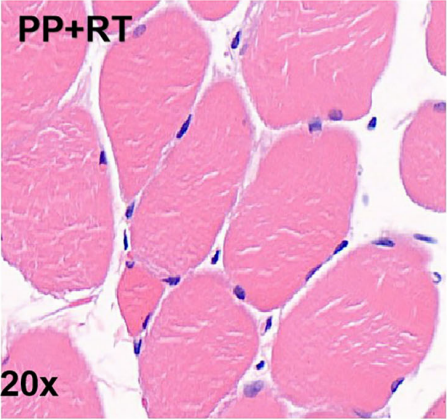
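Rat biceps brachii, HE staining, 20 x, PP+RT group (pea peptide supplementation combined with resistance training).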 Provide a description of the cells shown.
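Cross-section of skeletal muscle with large polygonal to rounded muscle fibers filled with evenly pink cytoplasm. Small, dark-blue, flattened nuclei lie at the periphery of the fibers, pressed against their edges. The fibers are separated by pale, loose interstitial spaces containing a few elongated nuclei. Fine pale streaks run through the pink cytoplasm of several fibers.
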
